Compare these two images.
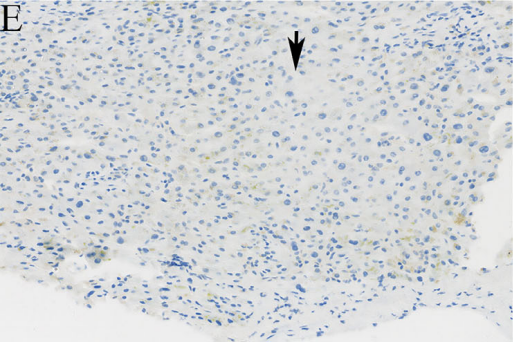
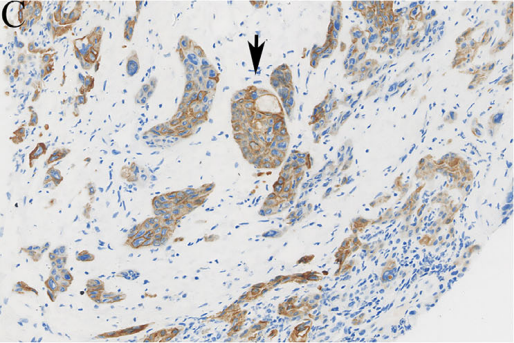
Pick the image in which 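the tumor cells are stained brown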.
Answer: The second image.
